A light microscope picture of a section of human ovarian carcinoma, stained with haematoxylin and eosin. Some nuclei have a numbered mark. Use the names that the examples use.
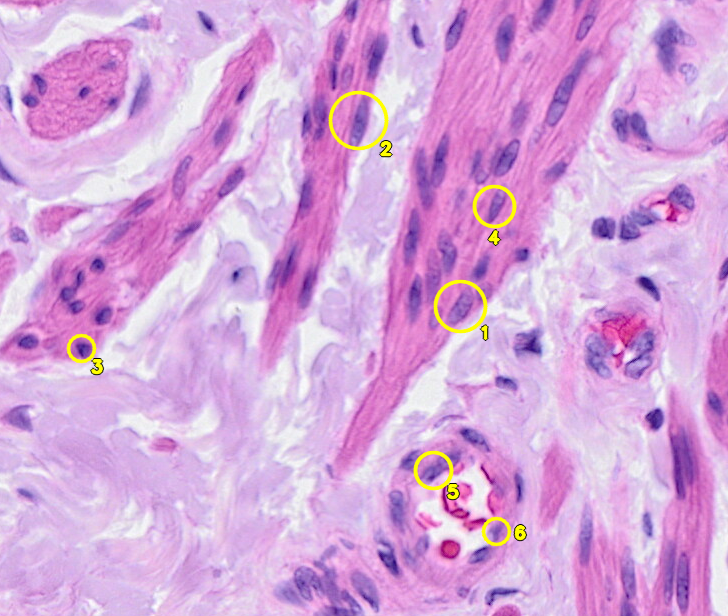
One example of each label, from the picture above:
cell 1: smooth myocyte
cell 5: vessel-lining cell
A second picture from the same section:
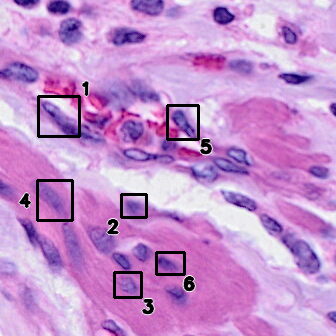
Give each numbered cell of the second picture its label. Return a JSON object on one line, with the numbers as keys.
{"1": "vessel-lining cell", "2": "smooth myocyte", "3": "smooth myocyte", "4": "smooth myocyte", "5": "vessel-lining cell", "6": "smooth myocyte"}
